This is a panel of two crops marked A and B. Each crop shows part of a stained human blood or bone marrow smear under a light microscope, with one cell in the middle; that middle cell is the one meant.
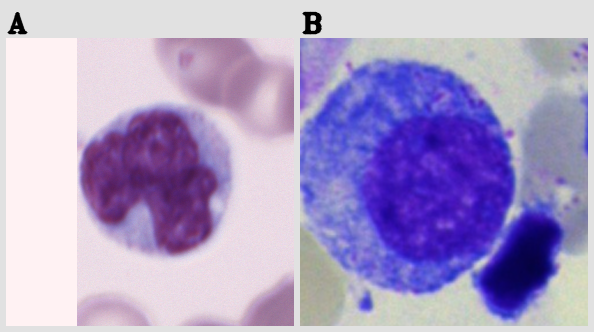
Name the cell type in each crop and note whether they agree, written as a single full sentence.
No, in fact crop A shows a monocyte, and crop B shows a promyelocyte.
